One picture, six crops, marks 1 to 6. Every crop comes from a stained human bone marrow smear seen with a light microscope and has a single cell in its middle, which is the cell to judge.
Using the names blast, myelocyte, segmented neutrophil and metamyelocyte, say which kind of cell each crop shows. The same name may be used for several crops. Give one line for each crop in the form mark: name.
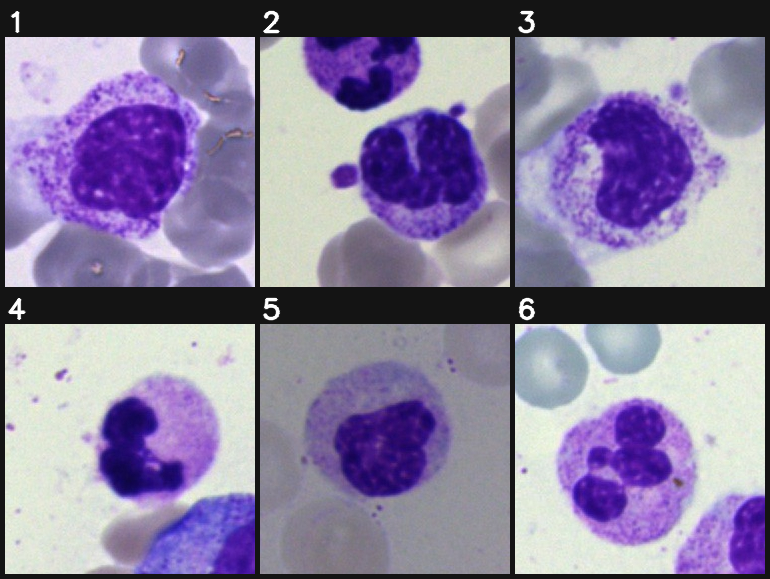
1: myelocyte
2: segmented neutrophil
3: metamyelocyte
4: segmented neutrophil
5: segmented neutrophil
6: segmented neutrophil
